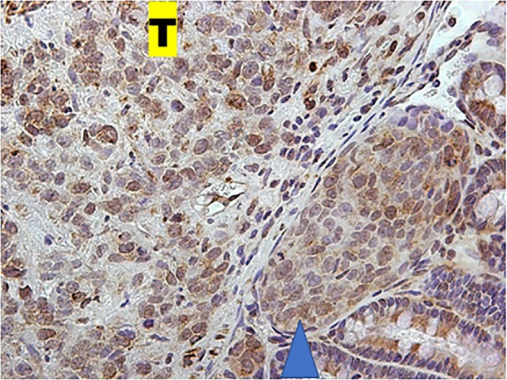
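Tumor tissue made of sheets of crowded, pleomorphic tumor cells beside a band of stroma. The tumor cells have oval to irregular nuclei, and most show brown stain over nuclei and cytoplasm on a pale blue background. A diagonal band of elongated spindle-shaped stromal cells with slender blue nuclei separates the tumor sheet from a rounded nest of brown-stained tumor cells at lower right.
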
